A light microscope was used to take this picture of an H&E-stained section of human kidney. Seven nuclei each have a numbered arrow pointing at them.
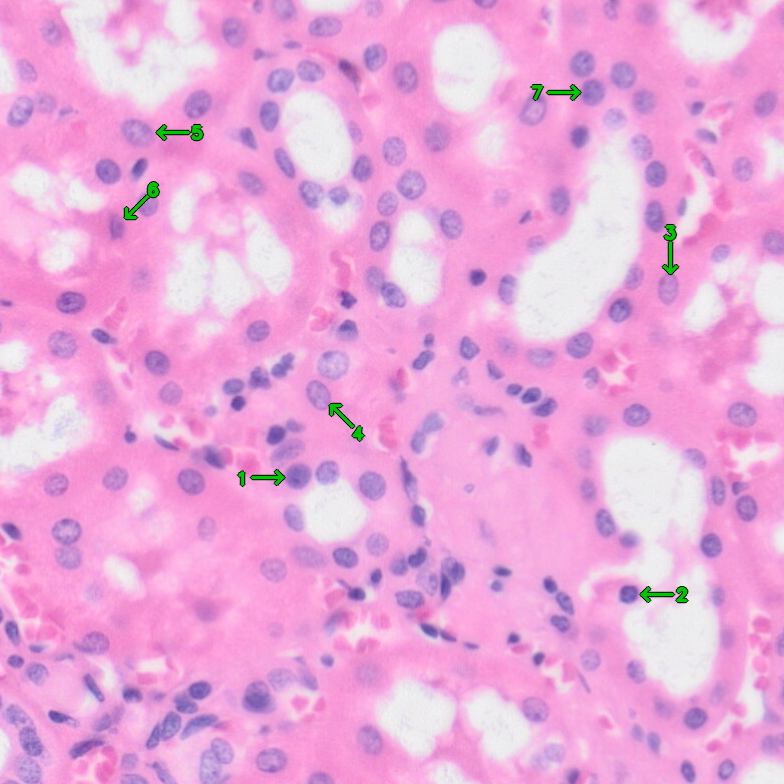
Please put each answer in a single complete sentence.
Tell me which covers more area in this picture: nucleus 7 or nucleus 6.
At about 2 times the area of nucleus 6, nucleus 7 is the larger of the two.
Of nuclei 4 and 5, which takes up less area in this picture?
With nucleus 5 about 1.5 times its size, nucleus 4 is the smaller of the two.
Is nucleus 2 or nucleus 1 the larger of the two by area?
Of the two, number 1 is bigger and takes up about 1.5 times the area of number 2.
